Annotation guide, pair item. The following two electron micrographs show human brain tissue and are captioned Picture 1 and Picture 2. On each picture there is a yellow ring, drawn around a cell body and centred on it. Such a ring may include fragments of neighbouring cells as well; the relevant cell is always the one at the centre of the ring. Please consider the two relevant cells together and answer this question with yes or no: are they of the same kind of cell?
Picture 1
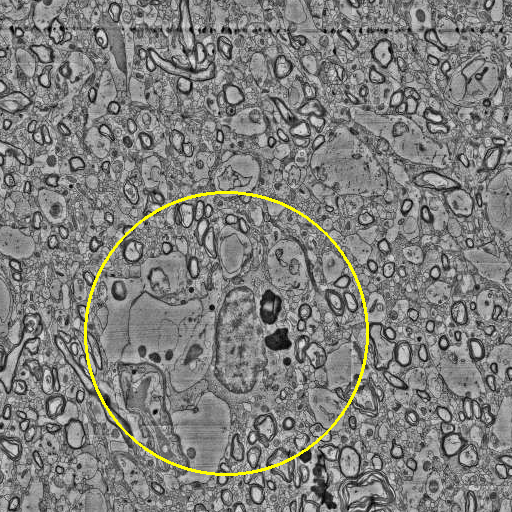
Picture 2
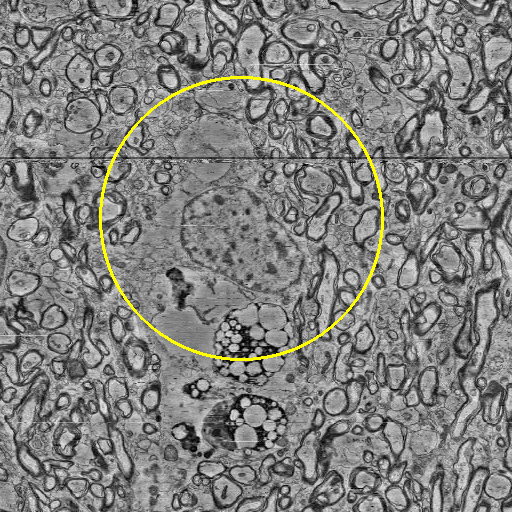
no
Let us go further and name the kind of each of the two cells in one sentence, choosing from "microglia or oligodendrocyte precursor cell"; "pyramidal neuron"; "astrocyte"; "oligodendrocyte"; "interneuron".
The ring of the first picture is on an oligodendrocyte, the ring of the second on an astrocyte.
